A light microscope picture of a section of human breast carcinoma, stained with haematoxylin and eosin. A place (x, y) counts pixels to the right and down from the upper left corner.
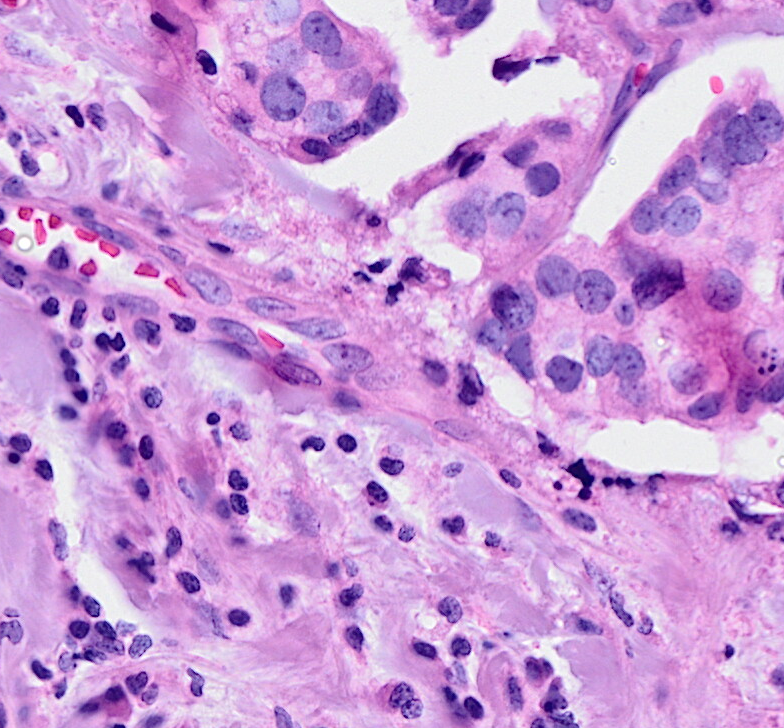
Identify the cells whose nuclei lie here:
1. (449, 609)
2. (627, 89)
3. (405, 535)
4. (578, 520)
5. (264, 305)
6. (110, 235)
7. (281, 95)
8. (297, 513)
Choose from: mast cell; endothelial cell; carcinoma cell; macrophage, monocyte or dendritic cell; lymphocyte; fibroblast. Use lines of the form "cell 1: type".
cell 1: macrophage, monocyte or dendritic cell
cell 2: endothelial cell
cell 3: mast cell
cell 4: mast cell
cell 5: endothelial cell
cell 6: endothelial cell
cell 7: carcinoma cell
cell 8: fibroblast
